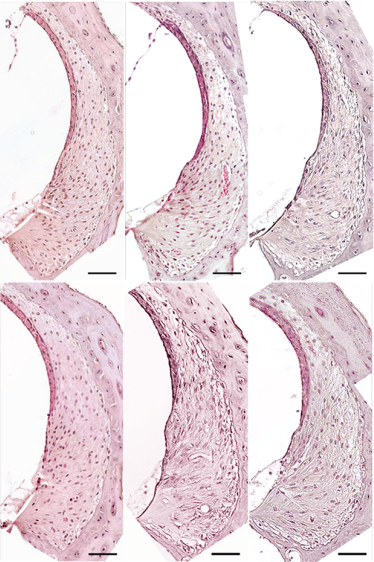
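Six brightfield sections of the cochlear lateral wall, stained in shades of pink, shown in two rows. In each, a crescent-shaped band of tissue curves along a concave inner edge. A thin, more darkly stained pink-purple layer lines that edge. Behind it lies a broad zone of pale, loosely woven connective tissue. Occasional small vessel profiles are seen within the tissue. The sections differ in how densely the nuclei are spread through the connective tissue.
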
